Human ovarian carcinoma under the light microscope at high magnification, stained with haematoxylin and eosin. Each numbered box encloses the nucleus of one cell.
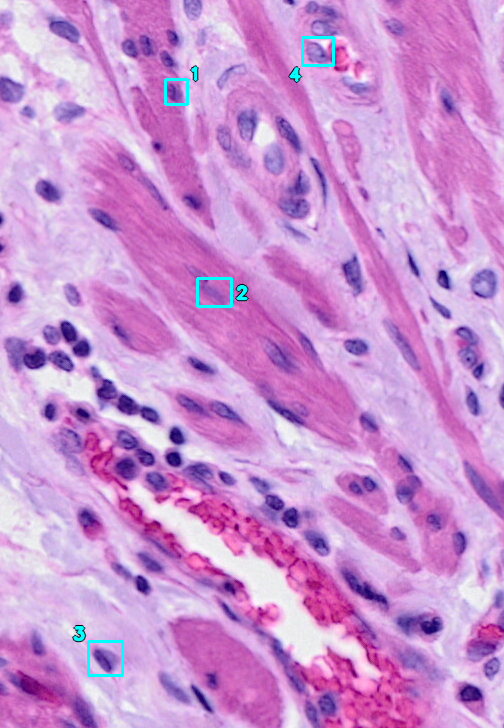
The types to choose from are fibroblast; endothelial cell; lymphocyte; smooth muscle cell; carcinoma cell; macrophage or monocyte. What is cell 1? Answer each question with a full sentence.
The cell tagged with 1 in this tissue section is a smooth muscle cell.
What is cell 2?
Belonging to a smooth muscle cell is the nucleus that carries the number 2.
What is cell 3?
The correct answer for cell 3 is a fibroblast.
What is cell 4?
The cell referenced by the number 4 is an endothelial cell in this field.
